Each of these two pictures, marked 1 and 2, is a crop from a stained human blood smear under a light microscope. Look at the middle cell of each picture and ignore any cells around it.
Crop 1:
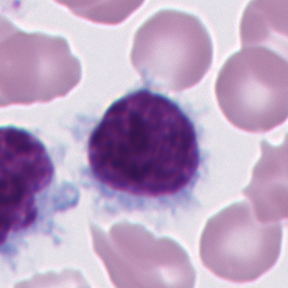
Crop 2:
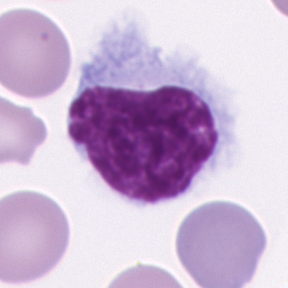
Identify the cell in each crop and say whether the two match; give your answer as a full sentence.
Yes, the cells centred in the two crops are both hairy cells.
